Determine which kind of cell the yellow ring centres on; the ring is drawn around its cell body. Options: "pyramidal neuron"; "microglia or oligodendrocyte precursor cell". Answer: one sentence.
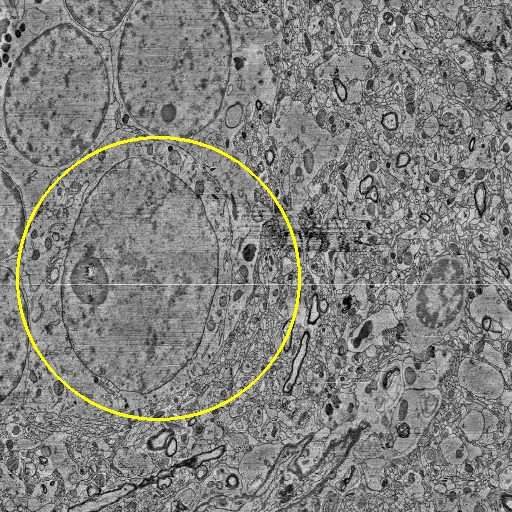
The ring centres on a pyramidal neuron.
